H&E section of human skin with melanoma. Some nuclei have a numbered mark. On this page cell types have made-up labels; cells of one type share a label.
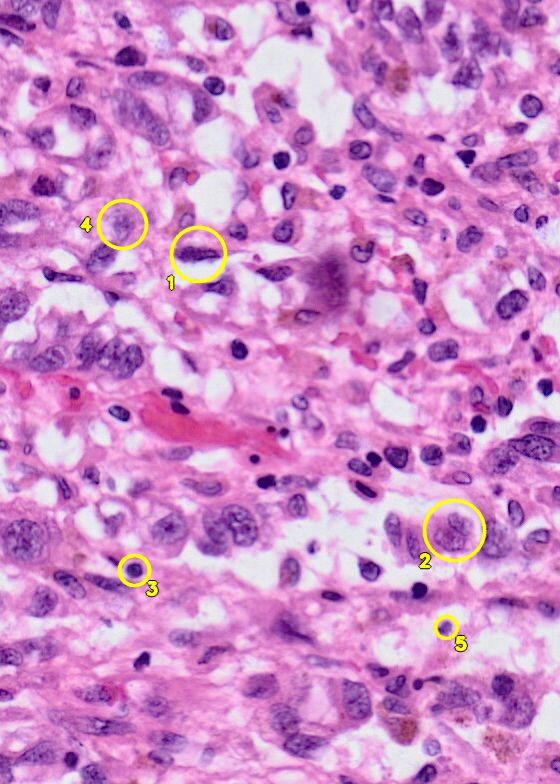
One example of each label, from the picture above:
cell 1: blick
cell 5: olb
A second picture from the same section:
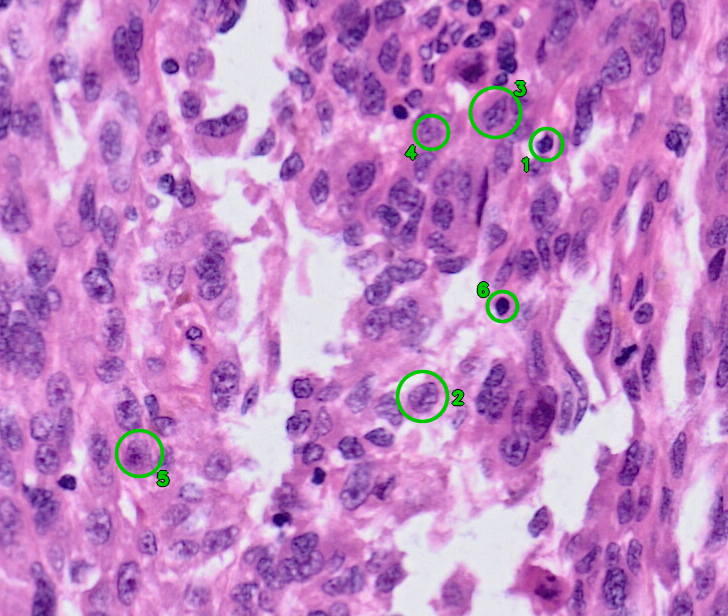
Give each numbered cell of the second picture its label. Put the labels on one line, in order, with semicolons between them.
olb; blick; blick; blick; blick; olb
